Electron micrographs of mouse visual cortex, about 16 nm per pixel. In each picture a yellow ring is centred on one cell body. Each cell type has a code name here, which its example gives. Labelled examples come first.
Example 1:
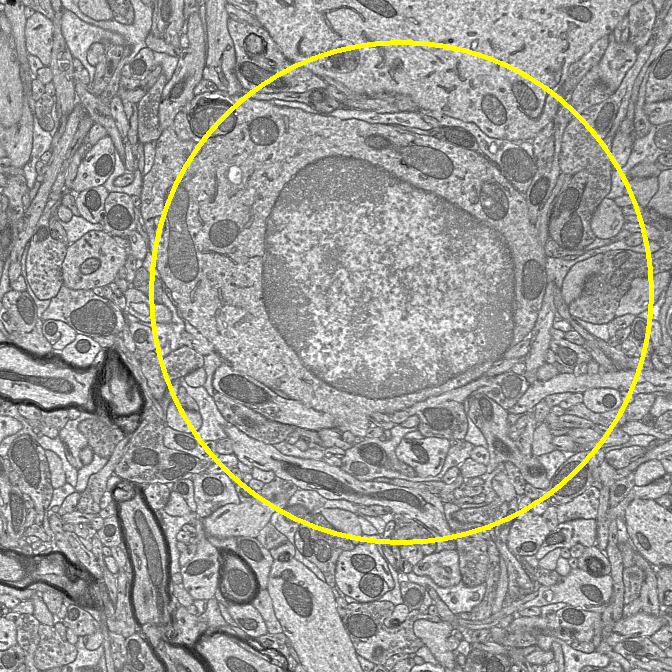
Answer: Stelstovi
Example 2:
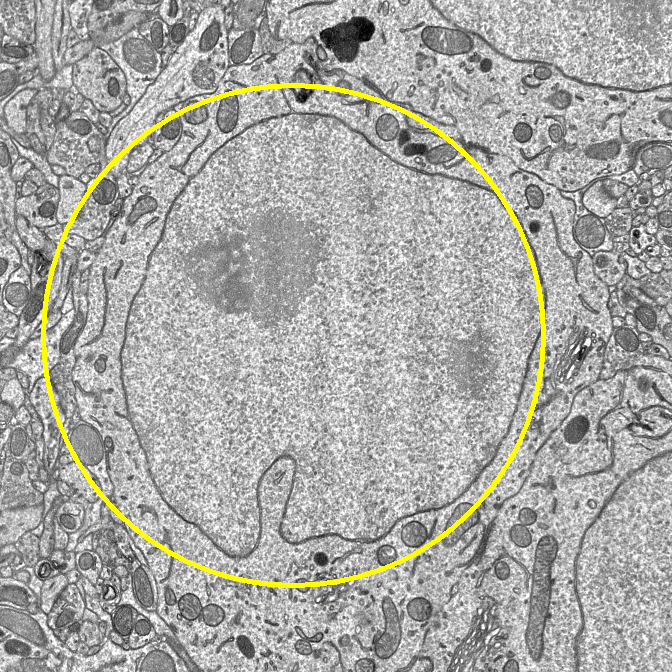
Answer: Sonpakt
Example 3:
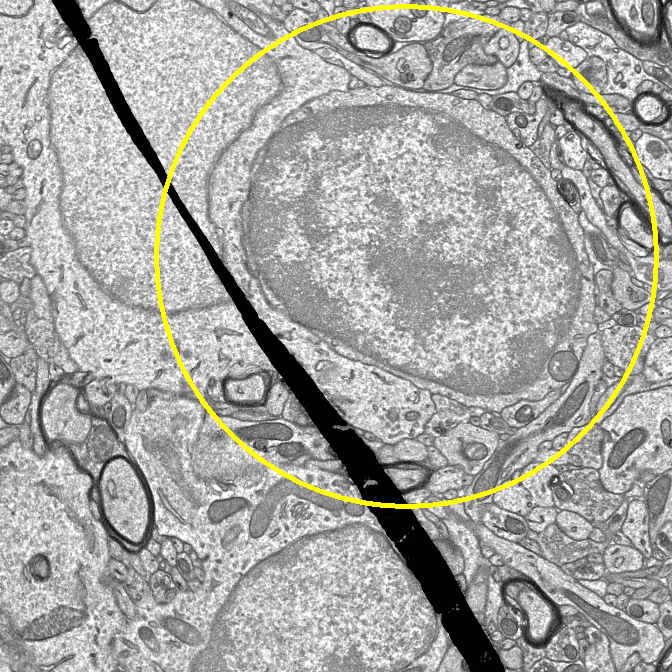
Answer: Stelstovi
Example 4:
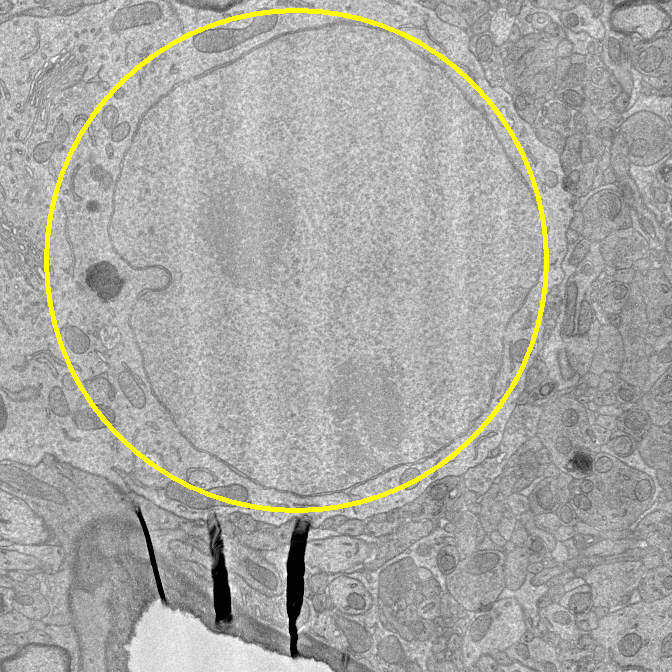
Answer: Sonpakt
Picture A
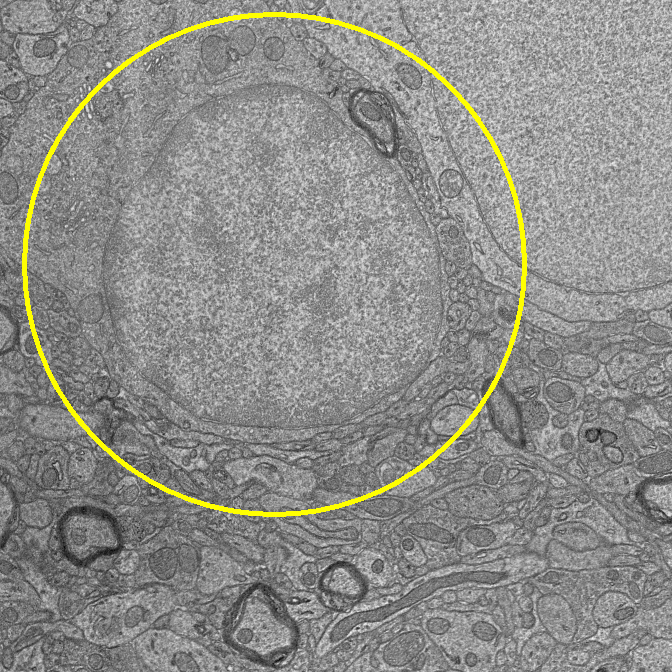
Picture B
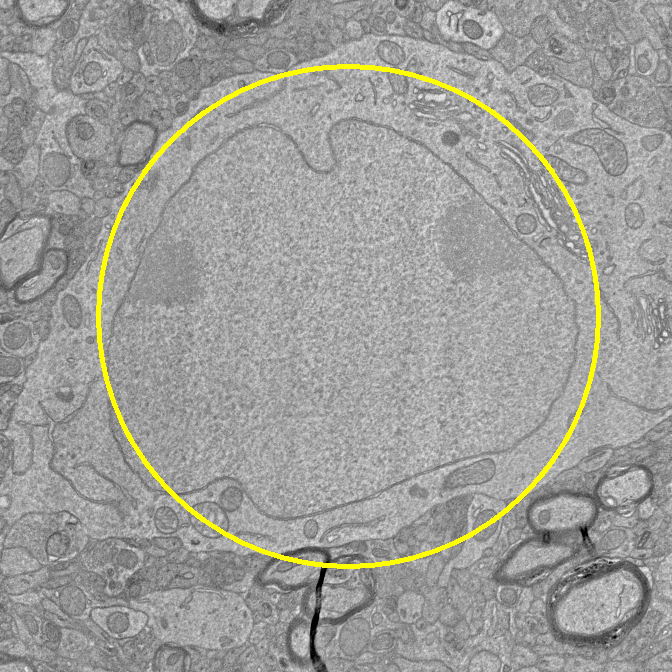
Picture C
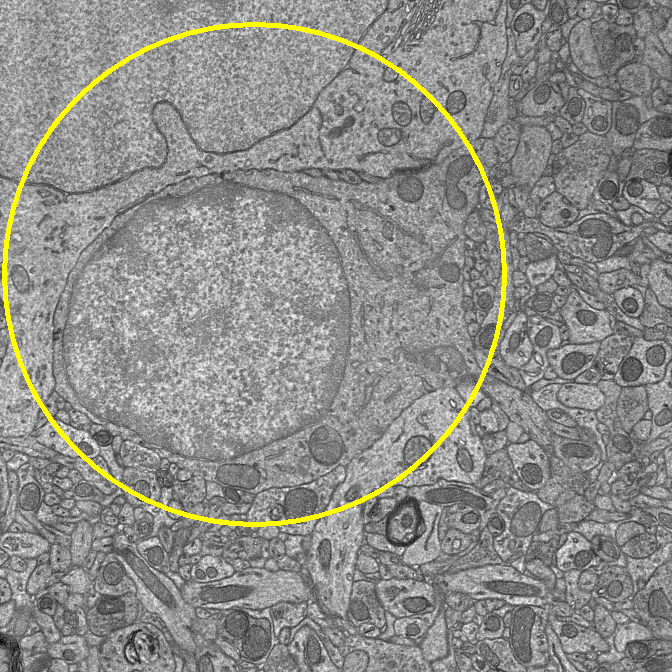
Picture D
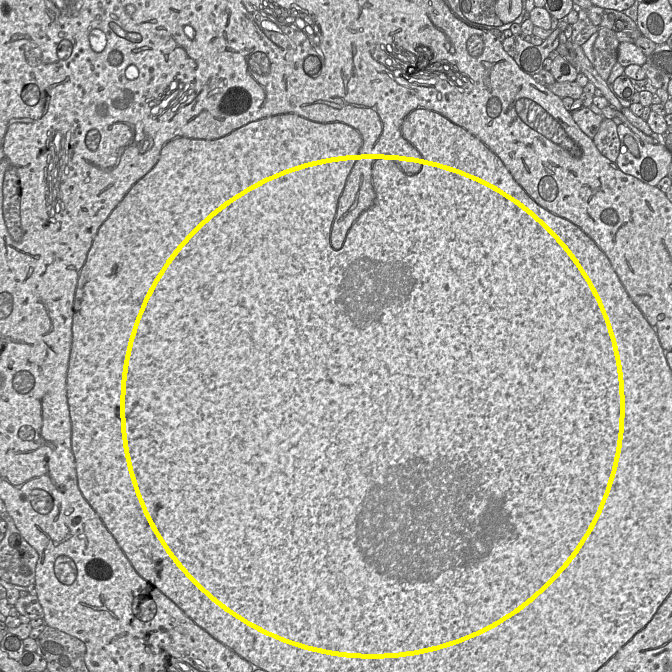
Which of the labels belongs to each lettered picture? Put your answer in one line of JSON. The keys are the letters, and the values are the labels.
{"A": "Stelstovi", "B": "Sonpakt", "C": "Stelstovi", "D": "Sonpakt"}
